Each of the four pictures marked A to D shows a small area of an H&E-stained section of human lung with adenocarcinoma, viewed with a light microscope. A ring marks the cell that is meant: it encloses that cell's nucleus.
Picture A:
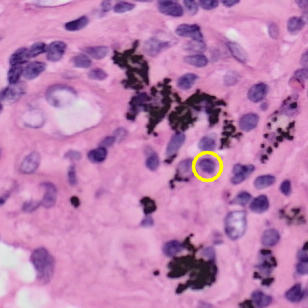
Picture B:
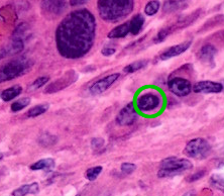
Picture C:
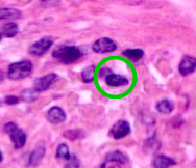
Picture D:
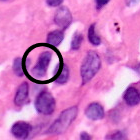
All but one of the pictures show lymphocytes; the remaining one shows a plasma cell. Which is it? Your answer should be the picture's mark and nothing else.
B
